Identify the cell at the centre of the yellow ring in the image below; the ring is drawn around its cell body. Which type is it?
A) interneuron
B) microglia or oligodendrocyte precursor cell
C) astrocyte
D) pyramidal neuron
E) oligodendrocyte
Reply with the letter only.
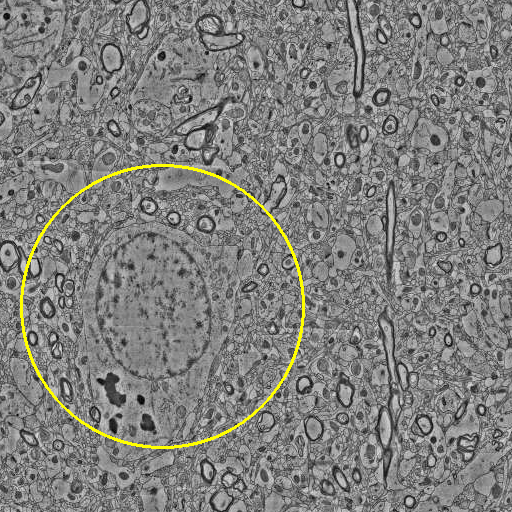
A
